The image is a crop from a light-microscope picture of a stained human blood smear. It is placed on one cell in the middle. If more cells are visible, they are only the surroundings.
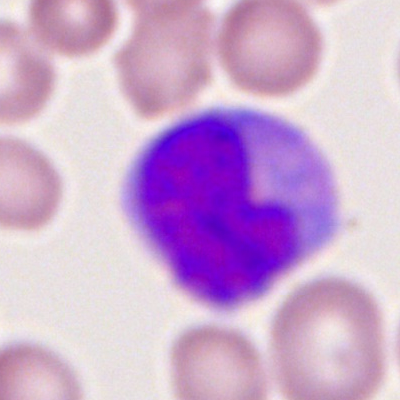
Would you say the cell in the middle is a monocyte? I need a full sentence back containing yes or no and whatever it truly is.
Yes, the cell centred in the field of view is a monocyte.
